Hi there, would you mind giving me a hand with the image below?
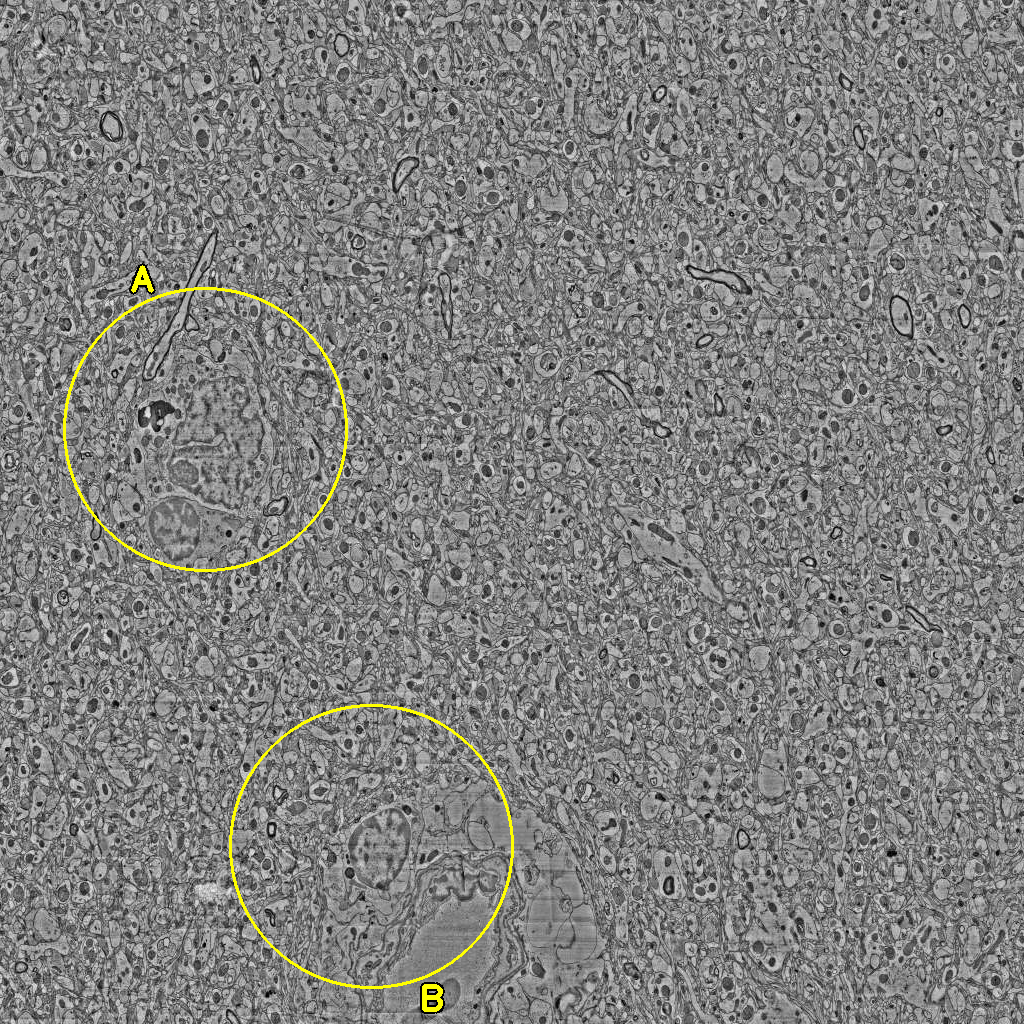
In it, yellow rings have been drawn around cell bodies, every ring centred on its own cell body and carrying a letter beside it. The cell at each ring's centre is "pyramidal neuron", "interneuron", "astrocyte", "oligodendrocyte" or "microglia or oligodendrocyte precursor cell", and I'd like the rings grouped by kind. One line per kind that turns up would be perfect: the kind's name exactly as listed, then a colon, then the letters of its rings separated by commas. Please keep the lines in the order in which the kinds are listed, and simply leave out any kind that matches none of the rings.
interneuron: A
microglia or oligodendrocyte precursor cell: B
